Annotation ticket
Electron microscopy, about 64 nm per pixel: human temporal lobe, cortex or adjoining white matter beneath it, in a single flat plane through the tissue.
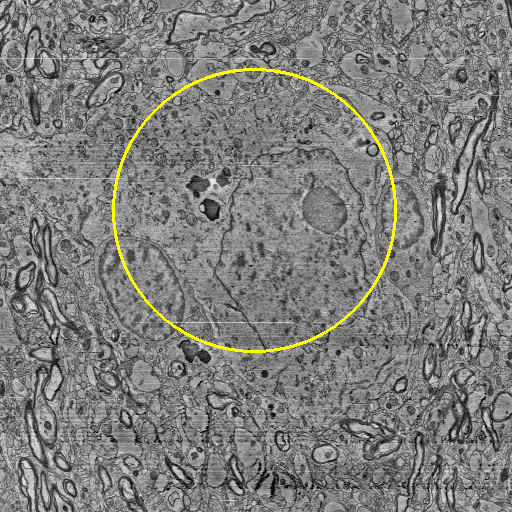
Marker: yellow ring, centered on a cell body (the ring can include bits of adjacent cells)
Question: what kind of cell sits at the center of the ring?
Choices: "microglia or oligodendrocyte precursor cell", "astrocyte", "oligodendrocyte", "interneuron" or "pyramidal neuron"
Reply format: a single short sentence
The ring is centered on a pyramidal neuron.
